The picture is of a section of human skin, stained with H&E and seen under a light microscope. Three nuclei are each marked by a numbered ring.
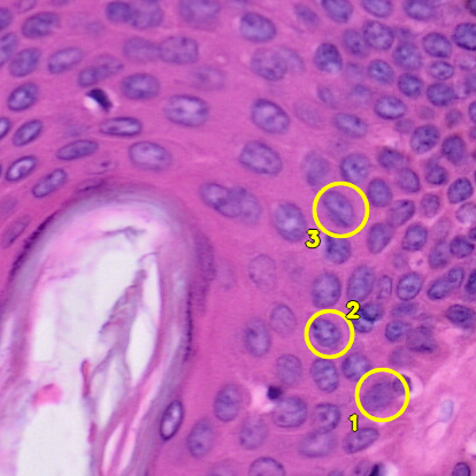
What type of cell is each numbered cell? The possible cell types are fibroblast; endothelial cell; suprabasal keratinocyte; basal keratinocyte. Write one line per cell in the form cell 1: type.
cell 1: basal keratinocyte
cell 2: suprabasal keratinocyte
cell 3: suprabasal keratinocyte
